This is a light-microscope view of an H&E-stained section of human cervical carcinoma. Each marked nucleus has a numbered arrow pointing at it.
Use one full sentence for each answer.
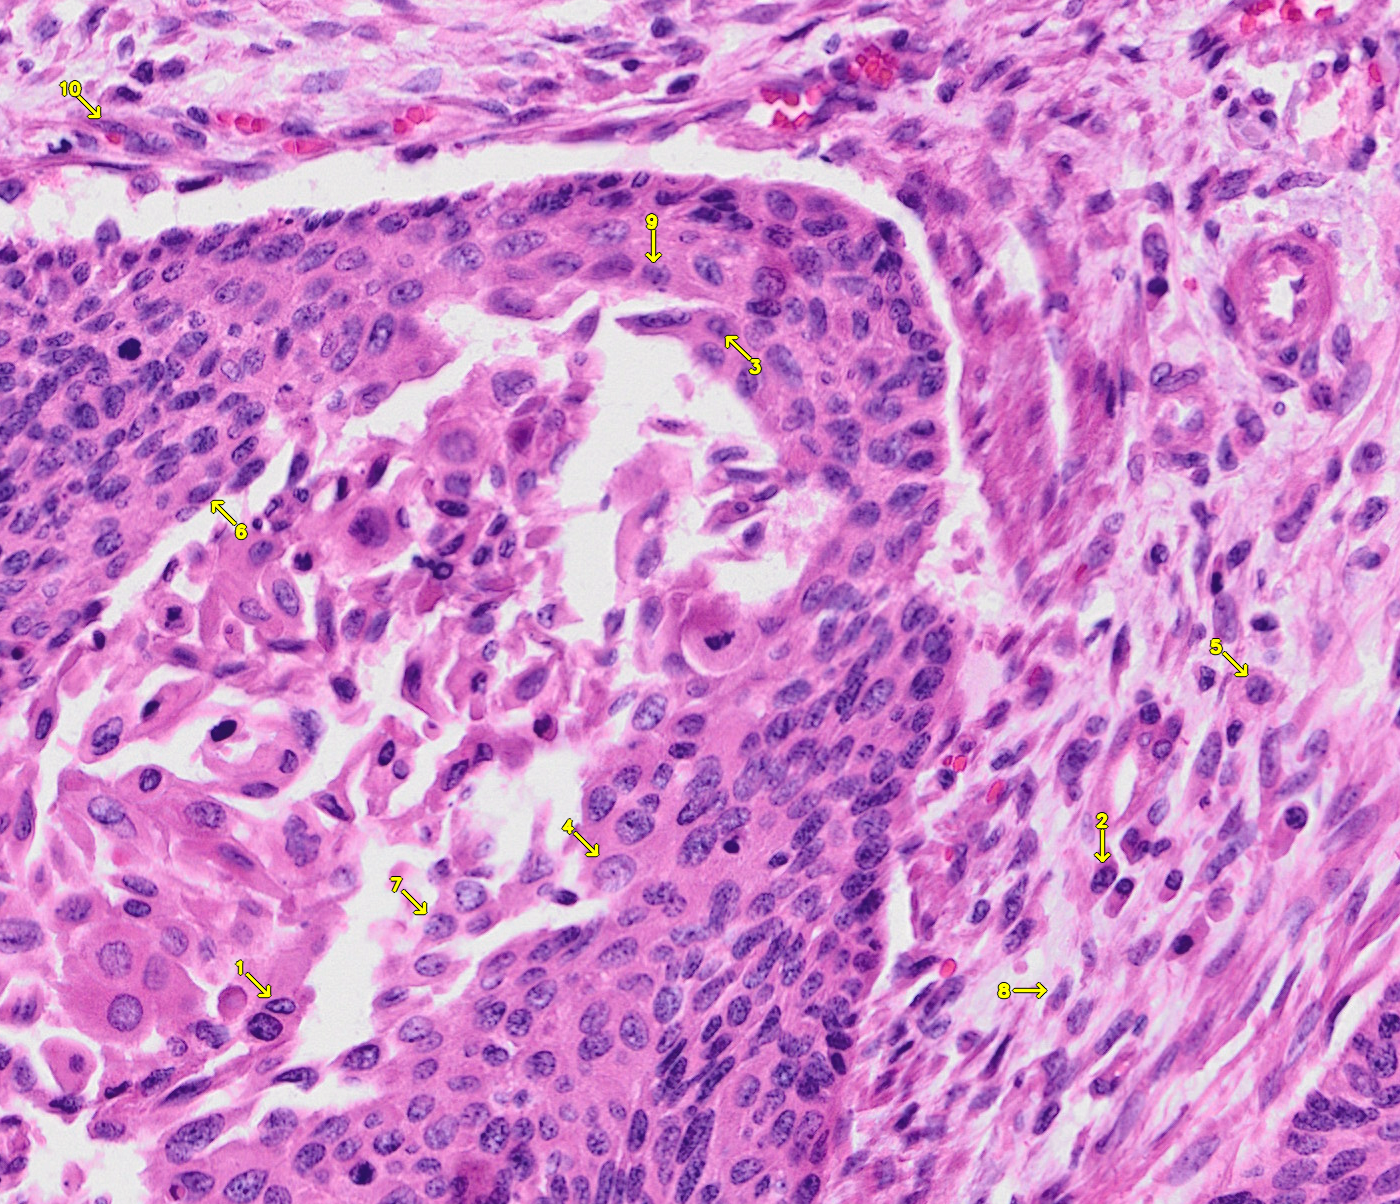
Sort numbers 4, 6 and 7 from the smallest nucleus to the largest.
By area, going up from the smallest, they rank 6, 7, 4.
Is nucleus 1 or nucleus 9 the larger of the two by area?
Of the two, number 9 is bigger and takes up about 1.5 times the area of number 1.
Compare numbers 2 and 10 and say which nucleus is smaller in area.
Nucleus 10 is the smaller one; nucleus 2 covers about 1.5 times its area.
